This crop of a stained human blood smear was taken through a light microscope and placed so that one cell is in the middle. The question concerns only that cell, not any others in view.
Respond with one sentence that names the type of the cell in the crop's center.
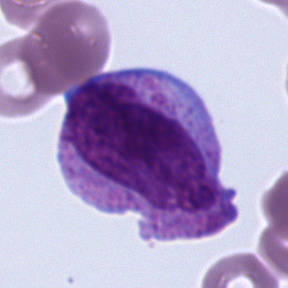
The single cell at the center of the crop is an atypical promyelocyte.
